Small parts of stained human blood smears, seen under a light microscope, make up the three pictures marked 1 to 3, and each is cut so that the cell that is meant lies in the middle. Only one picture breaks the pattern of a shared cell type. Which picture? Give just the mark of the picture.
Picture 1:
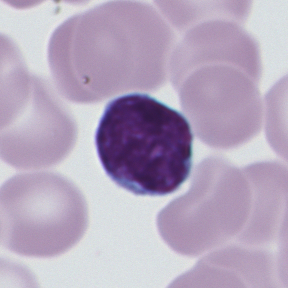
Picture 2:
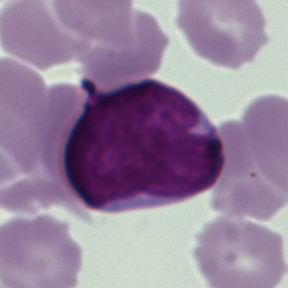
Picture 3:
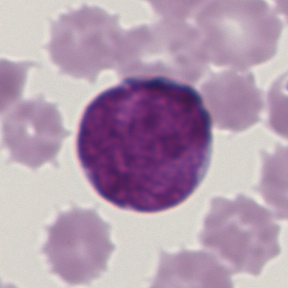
1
